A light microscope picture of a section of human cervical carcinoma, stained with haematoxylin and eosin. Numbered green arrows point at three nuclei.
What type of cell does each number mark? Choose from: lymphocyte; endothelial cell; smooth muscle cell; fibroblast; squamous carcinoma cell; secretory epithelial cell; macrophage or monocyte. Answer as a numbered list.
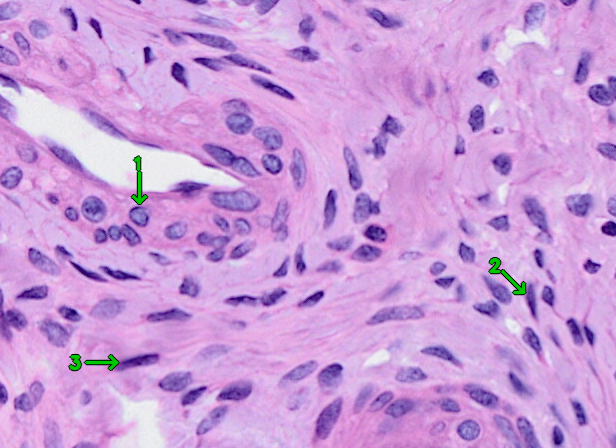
1. smooth muscle cell
2. fibroblast
3. fibroblast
